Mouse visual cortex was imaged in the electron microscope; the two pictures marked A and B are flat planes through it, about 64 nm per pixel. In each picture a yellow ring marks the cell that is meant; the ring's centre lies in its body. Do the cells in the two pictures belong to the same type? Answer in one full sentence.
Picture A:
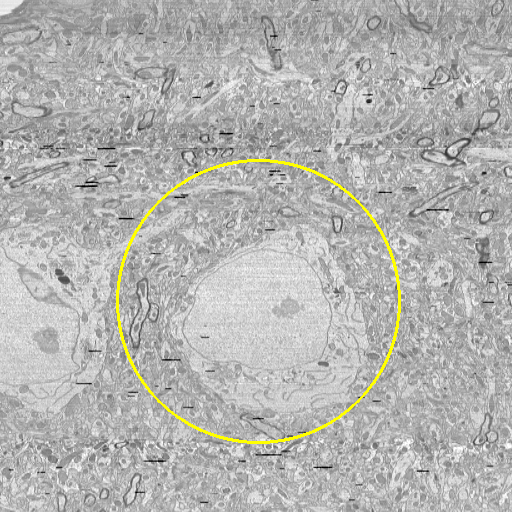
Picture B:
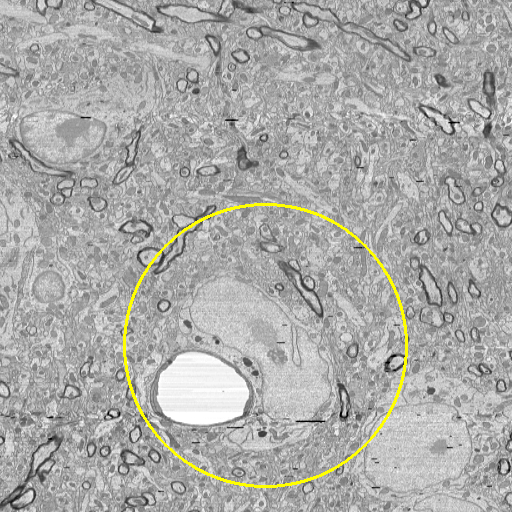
No; the cell in picture A is an excitatory neuron, while the one in picture B is an inhibitory neuron.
